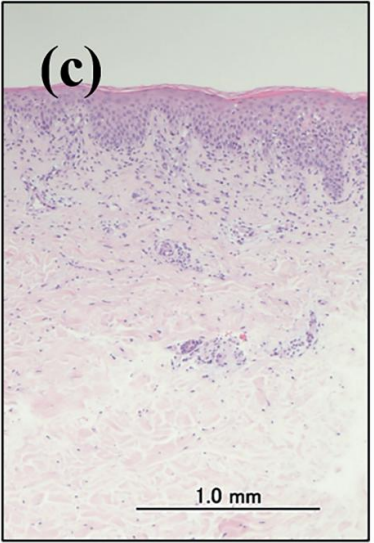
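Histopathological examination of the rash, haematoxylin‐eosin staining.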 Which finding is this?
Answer: Interface dermatitis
